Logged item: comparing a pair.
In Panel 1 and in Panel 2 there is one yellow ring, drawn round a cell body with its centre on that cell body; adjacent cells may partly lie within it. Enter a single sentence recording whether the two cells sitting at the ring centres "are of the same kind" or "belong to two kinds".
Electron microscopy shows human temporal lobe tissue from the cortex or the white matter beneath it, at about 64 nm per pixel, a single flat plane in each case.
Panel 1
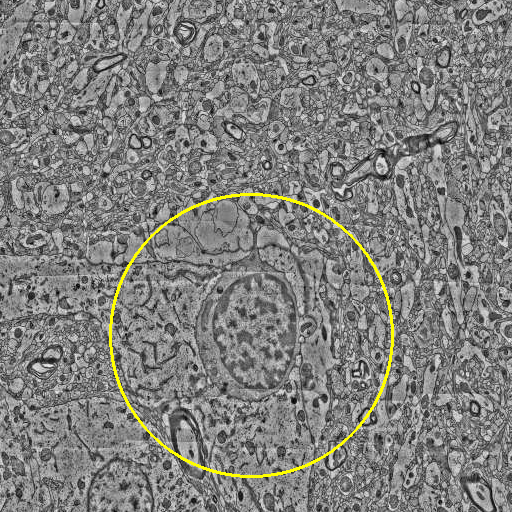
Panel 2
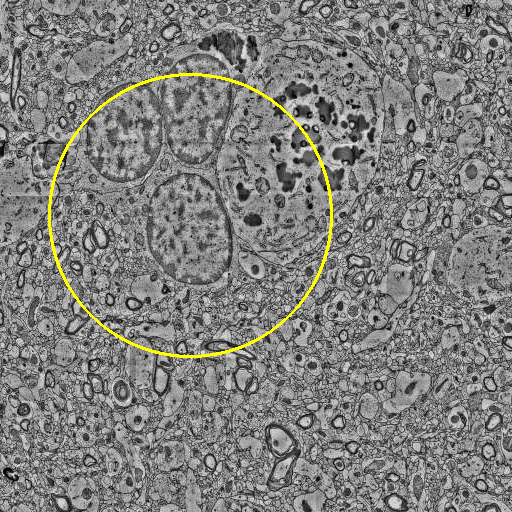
Logged: the cells centred in the rings of Panel 1 and Panel 2 are of the same kind.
